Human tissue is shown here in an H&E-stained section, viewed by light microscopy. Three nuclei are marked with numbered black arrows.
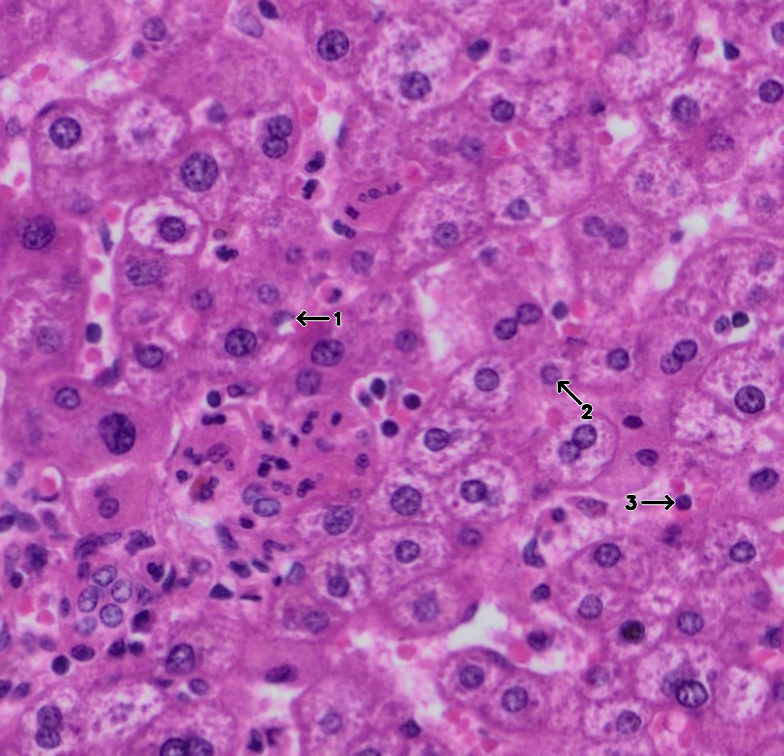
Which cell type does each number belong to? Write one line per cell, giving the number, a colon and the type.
1: endothelial cell
2: hepatocyte
3: lymphocyte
